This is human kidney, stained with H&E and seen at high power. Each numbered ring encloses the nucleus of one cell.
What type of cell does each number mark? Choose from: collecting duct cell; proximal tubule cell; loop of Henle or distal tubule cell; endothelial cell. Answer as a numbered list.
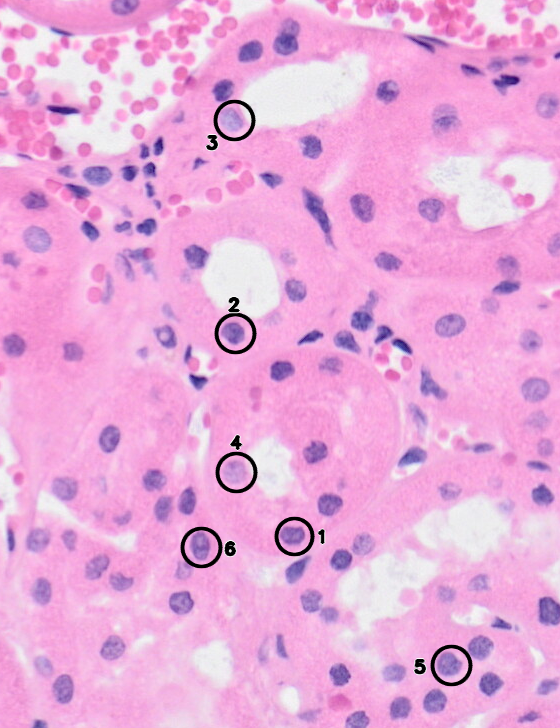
1. proximal tubule cell
2. loop of Henle or distal tubule cell
3. loop of Henle or distal tubule cell
4. proximal tubule cell
5. loop of Henle or distal tubule cell
6. proximal tubule cell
